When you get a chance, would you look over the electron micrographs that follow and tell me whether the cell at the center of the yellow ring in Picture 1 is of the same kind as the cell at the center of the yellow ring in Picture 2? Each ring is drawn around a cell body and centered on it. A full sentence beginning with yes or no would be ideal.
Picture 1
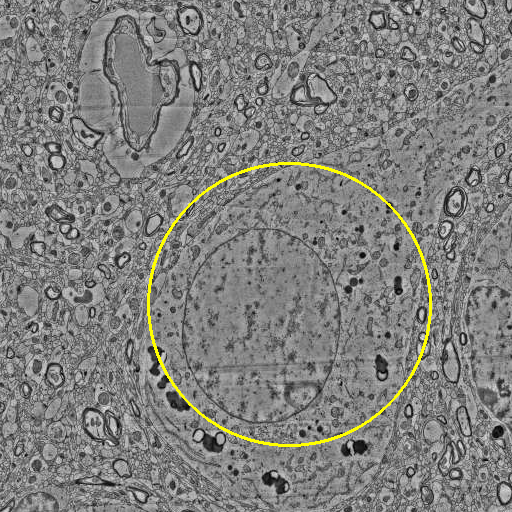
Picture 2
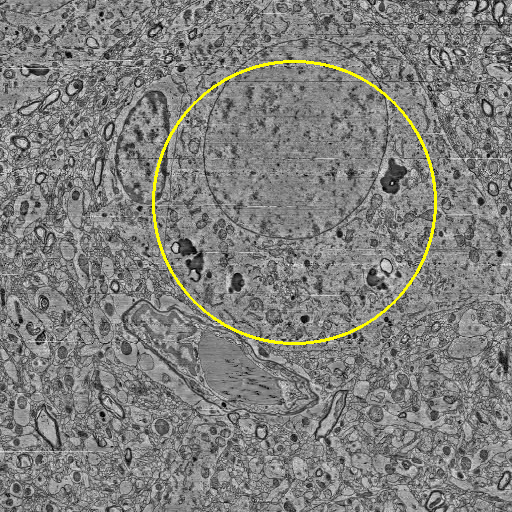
Yes, the two cells are of the same kind.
